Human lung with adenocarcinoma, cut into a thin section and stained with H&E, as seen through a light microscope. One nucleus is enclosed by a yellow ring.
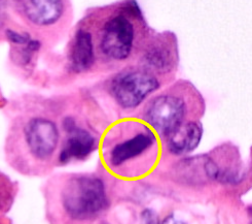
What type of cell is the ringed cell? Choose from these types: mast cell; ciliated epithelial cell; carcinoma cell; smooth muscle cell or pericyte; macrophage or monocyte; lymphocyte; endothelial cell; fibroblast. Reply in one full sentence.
In cell-type terms, the ringed cell is a carcinoma cell.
